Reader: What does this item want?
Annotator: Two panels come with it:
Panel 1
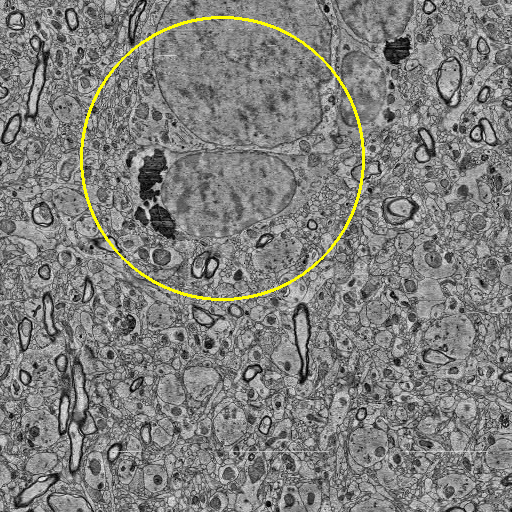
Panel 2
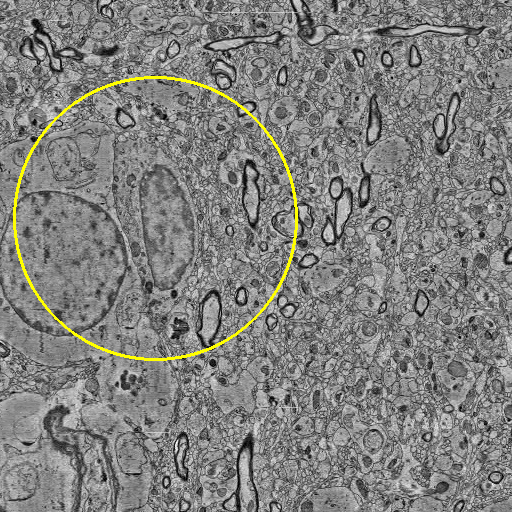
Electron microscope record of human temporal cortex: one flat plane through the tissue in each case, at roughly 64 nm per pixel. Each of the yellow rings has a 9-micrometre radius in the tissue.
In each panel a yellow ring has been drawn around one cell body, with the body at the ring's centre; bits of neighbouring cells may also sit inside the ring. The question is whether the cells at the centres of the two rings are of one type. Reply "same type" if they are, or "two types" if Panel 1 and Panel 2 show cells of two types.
same type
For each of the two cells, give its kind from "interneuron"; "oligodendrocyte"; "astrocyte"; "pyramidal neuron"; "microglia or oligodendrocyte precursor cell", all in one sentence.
Both cells are the same kind, each one being an oligodendrocyte.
